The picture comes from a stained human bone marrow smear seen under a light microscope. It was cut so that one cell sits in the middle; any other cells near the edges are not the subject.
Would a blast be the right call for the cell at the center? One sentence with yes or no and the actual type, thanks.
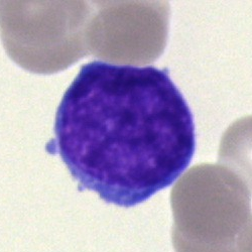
Yes, the cell occupying the middle of the crop is a blast.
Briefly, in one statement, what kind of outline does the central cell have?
The outer contour of the cell is irregular, with ragged portions or projections along it.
